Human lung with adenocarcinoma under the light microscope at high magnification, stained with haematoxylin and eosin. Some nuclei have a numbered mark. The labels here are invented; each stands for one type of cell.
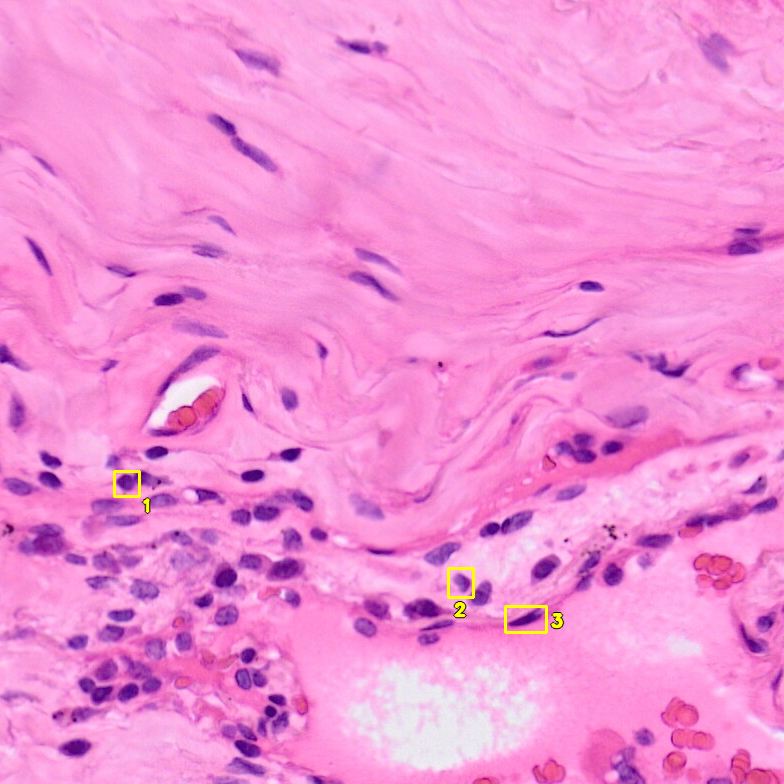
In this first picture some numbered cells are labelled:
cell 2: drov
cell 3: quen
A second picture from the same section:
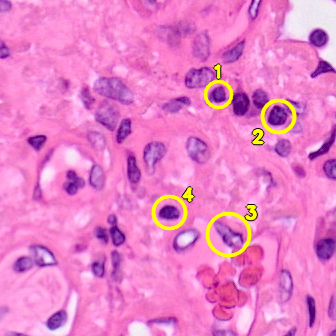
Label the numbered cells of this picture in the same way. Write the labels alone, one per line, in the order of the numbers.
drov
drov
quen
drov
